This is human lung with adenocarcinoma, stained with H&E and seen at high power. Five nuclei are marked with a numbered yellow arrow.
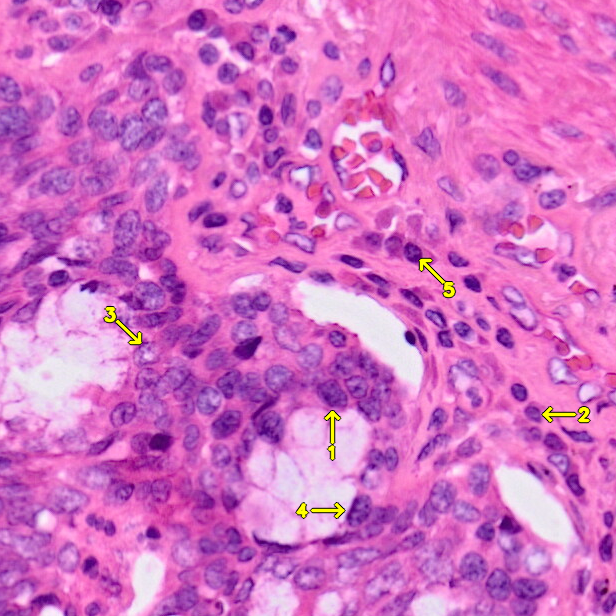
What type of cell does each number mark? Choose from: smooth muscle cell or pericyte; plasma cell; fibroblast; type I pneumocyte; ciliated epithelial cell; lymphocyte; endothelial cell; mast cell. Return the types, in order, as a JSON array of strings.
["ciliated epithelial cell", "plasma cell", "ciliated epithelial cell", "ciliated epithelial cell", "plasma cell"]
